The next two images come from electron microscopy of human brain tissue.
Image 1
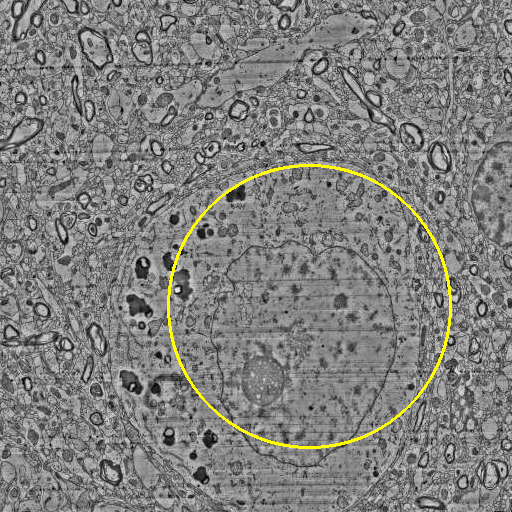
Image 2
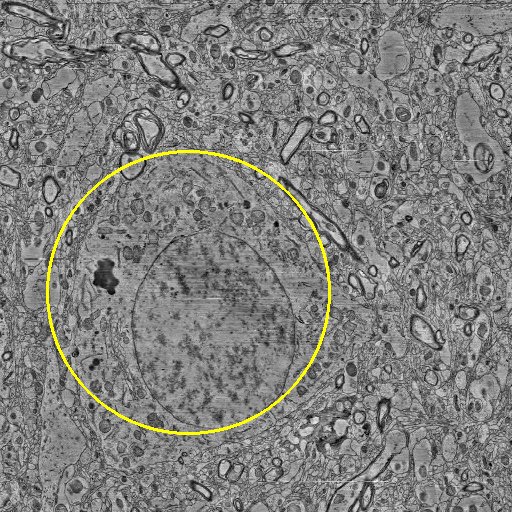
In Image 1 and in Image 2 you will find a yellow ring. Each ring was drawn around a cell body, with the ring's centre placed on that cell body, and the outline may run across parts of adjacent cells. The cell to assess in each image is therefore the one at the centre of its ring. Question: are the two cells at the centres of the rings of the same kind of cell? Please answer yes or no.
no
